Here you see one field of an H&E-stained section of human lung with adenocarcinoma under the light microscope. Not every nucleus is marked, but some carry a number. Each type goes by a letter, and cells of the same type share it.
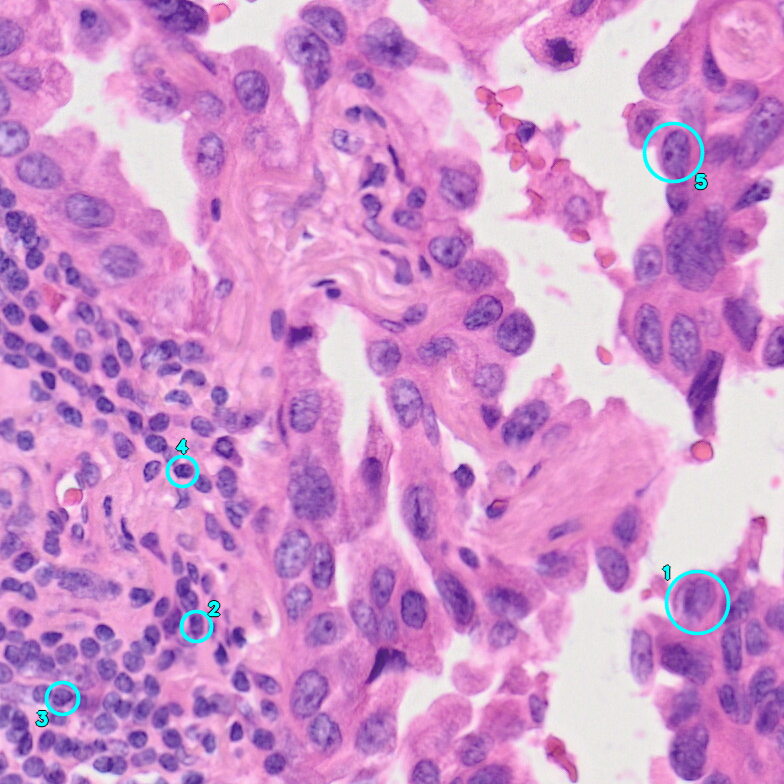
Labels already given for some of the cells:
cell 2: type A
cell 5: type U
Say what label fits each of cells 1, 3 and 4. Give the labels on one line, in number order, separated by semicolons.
type U; type A; type A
